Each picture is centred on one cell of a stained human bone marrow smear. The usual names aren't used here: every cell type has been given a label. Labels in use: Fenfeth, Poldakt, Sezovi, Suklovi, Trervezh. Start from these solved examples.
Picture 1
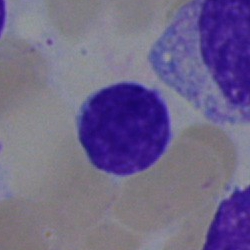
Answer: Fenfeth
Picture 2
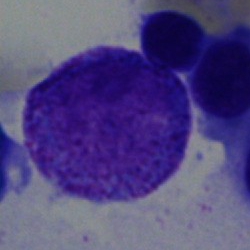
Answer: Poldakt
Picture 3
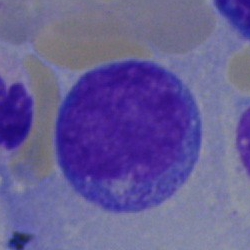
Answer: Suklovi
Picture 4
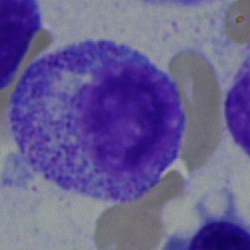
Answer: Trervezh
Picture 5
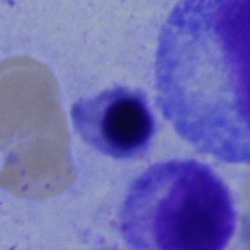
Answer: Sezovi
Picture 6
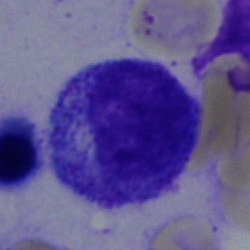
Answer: Trervezh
